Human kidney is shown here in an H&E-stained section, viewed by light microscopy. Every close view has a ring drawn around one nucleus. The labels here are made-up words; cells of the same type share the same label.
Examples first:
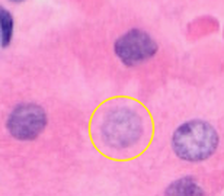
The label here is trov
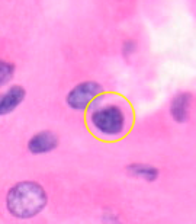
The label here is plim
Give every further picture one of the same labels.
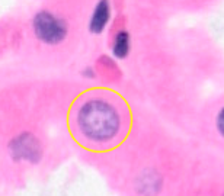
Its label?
trov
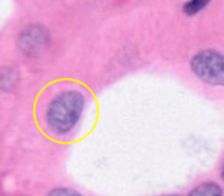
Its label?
plim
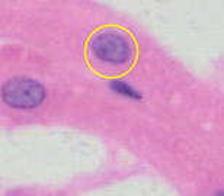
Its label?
trov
